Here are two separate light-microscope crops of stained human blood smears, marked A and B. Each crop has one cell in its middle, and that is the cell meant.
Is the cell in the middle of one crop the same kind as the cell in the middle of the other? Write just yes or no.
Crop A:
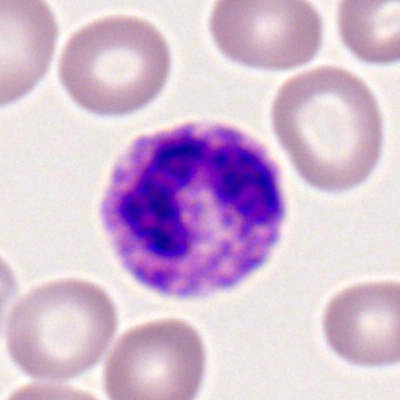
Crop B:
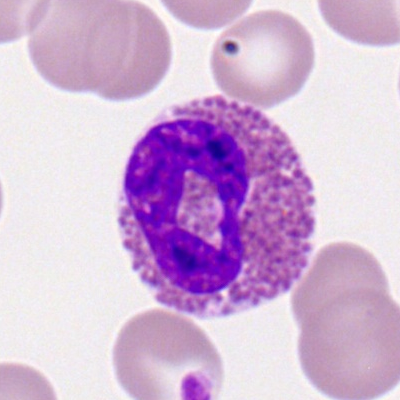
yes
